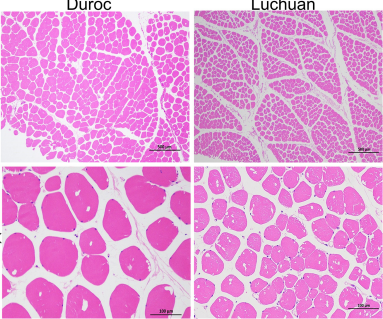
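These are cross-sections of muscle in which muscle fibers appear as pink, polygonal profiles packed closely together. At low magnification the fibers are grouped into bundles separated by pale, thin strands of connective tissue. At higher magnification small dark nuclei lie at the edges of the fibers, and the fibers in the right-hand images are visibly smaller than those on the left.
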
